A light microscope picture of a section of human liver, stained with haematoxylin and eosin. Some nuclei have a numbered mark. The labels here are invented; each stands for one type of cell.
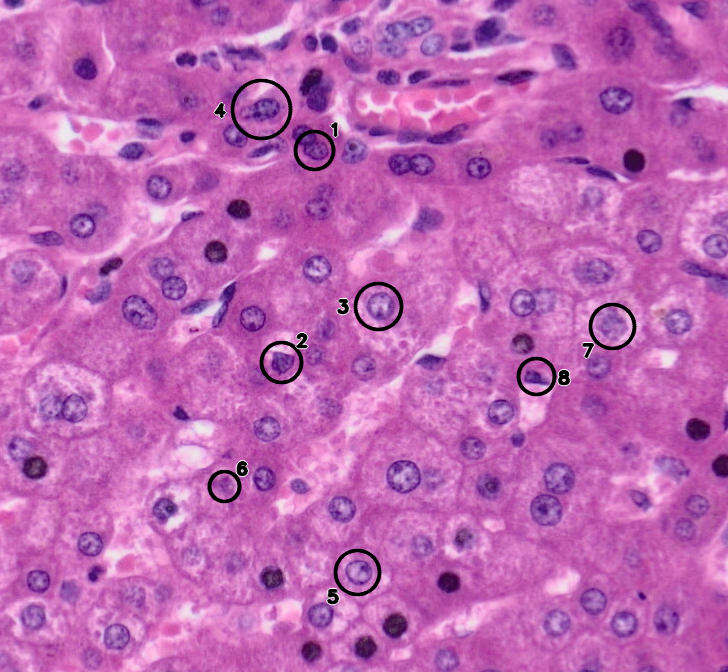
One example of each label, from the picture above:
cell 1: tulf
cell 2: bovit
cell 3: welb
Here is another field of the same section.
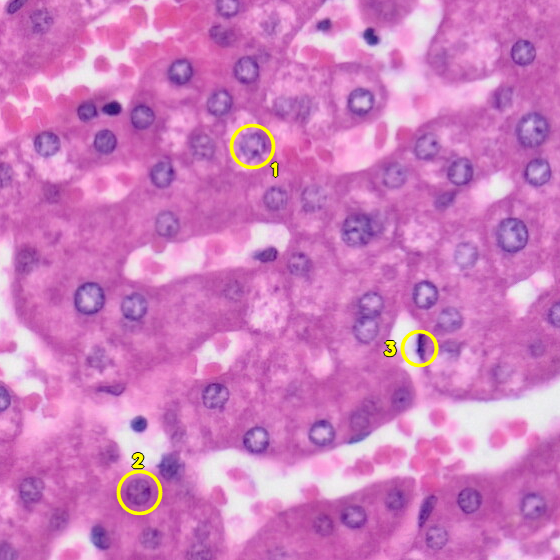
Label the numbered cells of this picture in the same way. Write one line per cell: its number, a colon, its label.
1: welb
2: welb
3: bovit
